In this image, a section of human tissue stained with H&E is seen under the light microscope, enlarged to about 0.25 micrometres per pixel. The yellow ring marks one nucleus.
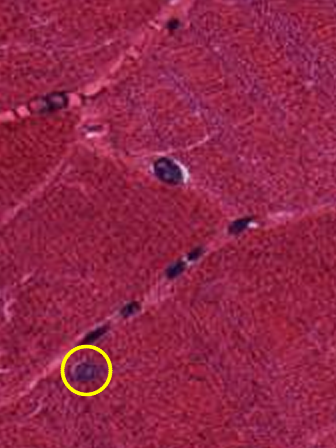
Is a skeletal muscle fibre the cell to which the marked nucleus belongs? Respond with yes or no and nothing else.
yes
